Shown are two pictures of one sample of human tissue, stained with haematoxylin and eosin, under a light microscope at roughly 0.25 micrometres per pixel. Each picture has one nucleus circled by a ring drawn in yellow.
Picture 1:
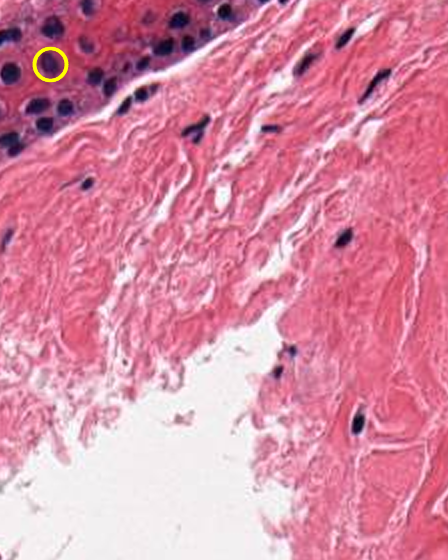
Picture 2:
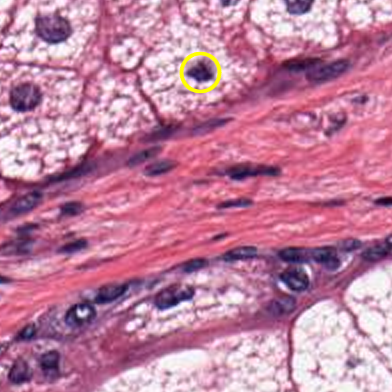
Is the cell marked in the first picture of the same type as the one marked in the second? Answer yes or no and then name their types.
No, the first is a keratinocyte and the second a sebaceous gland cell.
